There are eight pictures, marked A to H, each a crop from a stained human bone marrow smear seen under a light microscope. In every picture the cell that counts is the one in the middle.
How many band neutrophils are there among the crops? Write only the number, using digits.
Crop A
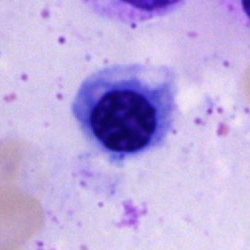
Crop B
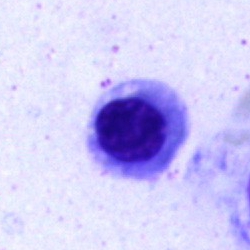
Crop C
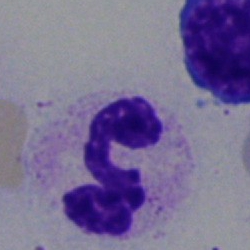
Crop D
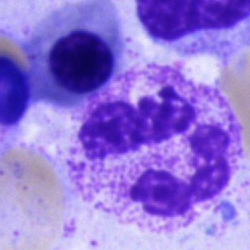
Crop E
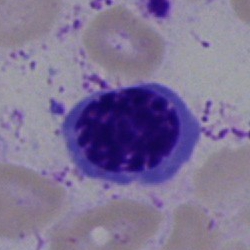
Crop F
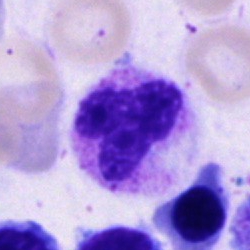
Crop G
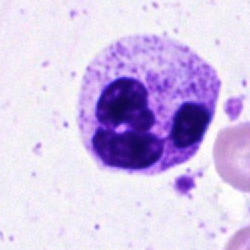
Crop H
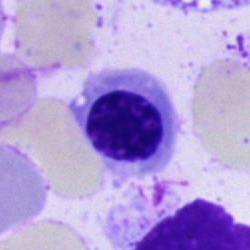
0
